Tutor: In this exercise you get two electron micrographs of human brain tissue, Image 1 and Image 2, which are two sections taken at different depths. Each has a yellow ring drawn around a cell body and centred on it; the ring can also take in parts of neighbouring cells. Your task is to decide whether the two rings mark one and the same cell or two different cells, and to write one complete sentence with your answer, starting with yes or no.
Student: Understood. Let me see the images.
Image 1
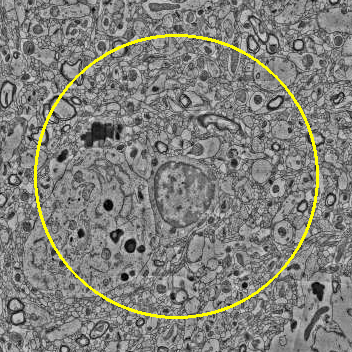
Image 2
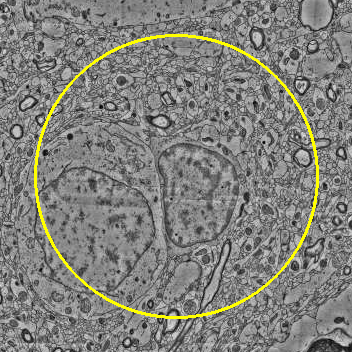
Yes, both yellow rings mark one and the same cell.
